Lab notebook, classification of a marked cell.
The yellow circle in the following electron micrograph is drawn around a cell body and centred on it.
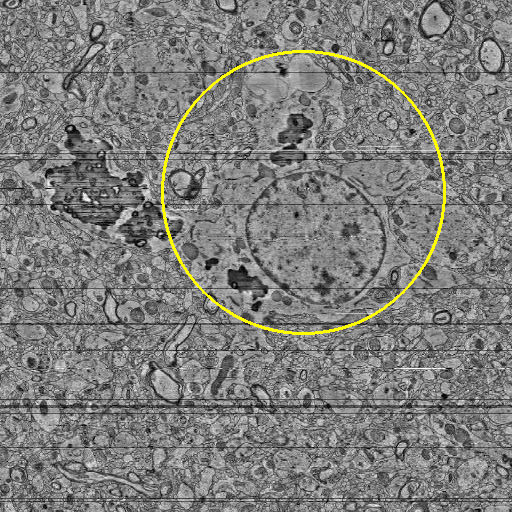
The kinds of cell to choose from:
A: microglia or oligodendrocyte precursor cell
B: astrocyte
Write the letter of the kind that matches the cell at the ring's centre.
B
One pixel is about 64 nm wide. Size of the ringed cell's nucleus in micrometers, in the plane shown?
About 9 micrometers across, in this plane.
